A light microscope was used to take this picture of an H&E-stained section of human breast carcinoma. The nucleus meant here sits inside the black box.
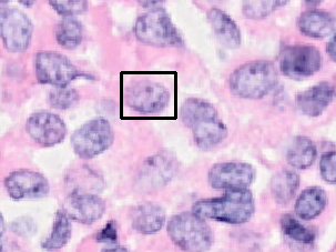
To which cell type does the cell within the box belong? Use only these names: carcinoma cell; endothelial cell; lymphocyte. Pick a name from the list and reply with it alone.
carcinoma cell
